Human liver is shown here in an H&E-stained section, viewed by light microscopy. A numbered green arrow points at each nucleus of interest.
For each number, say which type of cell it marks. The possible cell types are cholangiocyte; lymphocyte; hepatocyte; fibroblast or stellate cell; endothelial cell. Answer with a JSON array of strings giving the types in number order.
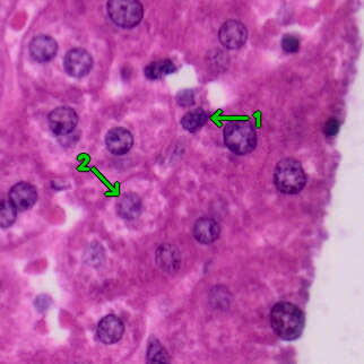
["fibroblast or stellate cell", "hepatocyte"]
